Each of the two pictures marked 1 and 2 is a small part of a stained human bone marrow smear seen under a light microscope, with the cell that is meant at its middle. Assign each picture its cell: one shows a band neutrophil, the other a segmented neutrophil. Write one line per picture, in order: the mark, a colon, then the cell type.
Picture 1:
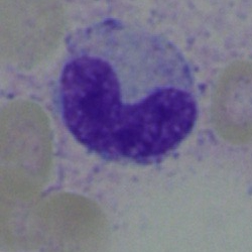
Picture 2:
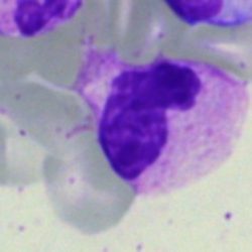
1: band neutrophil
2: segmented neutrophil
